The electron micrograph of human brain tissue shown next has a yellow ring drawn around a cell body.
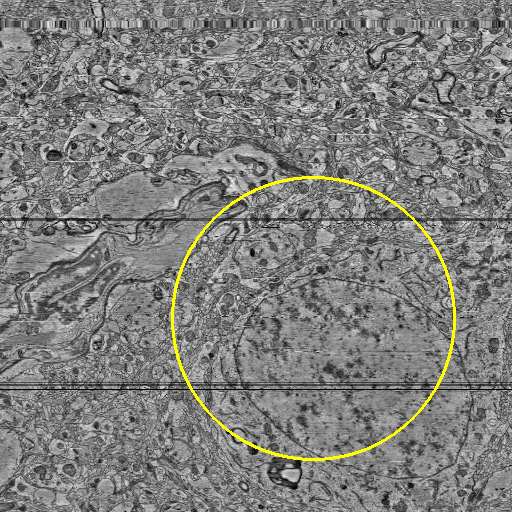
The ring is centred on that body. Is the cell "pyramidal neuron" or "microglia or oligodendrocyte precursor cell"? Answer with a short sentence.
The cell in question is a pyramidal neuron.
